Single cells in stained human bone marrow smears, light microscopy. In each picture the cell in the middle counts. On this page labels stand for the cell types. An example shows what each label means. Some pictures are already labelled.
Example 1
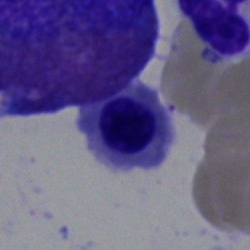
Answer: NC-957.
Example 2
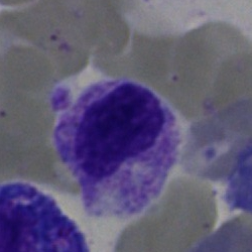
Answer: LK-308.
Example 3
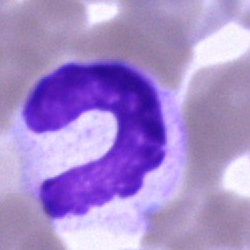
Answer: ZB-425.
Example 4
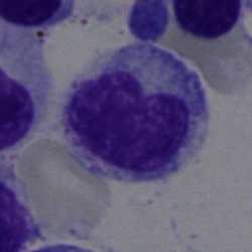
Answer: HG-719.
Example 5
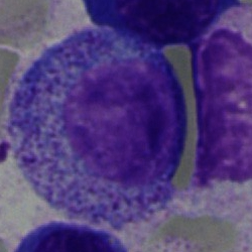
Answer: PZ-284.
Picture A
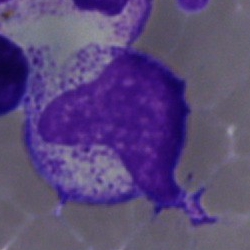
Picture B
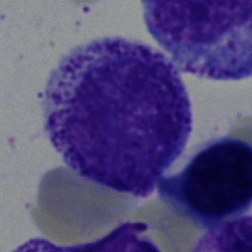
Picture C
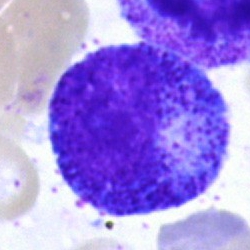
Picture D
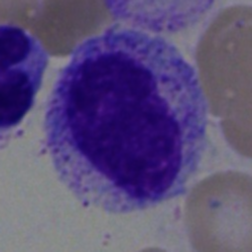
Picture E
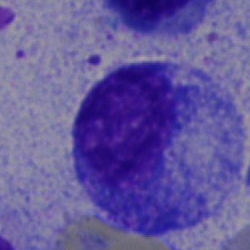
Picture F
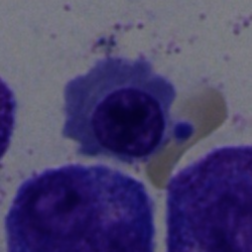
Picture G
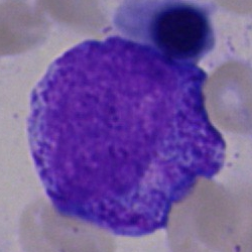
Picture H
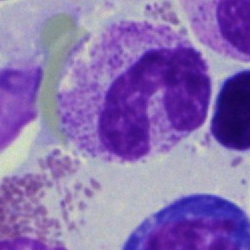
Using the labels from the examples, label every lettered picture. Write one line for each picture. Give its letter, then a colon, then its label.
A: HG-719.
B: LK-308.
C: PZ-284.
D: HG-719.
E: PZ-284.
F: NC-957.
G: PZ-284.
H: ZB-425.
